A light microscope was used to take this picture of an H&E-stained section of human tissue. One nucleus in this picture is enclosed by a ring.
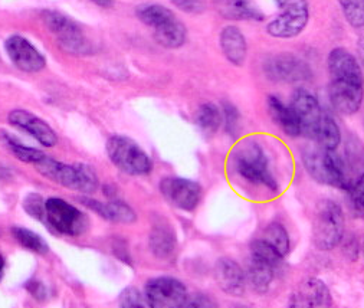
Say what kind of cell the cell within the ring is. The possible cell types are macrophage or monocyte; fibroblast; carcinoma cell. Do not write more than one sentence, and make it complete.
It is as a carcinoma cell that the cell within the ring is classified.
